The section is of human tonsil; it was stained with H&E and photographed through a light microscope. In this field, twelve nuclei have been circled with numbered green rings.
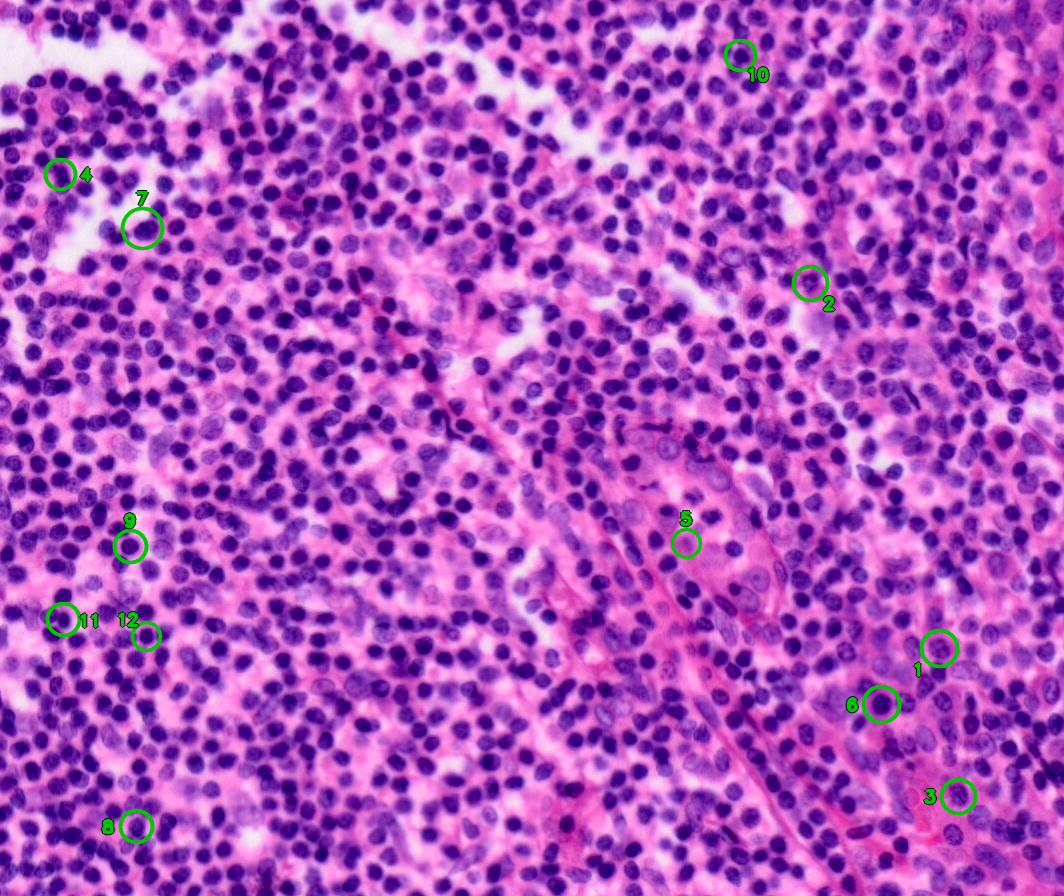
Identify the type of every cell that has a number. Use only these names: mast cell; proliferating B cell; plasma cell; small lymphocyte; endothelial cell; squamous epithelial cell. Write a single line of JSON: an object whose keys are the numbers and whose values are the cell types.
{"1": "plasma cell", "2": "plasma cell", "3": "plasma cell", "4": "small lymphocyte", "5": "endothelial cell", "6": "plasma cell", "7": "small lymphocyte", "8": "small lymphocyte", "9": "small lymphocyte", "10": "small lymphocyte", "11": "small lymphocyte", "12": "small lymphocyte"}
